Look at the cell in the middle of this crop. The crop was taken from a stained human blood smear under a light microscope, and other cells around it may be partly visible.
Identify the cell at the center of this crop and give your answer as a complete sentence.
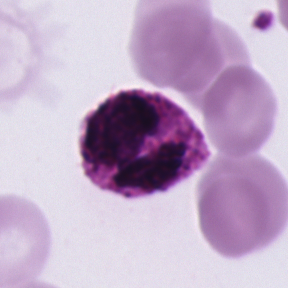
Seen at the centre of the crop is a basophil.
